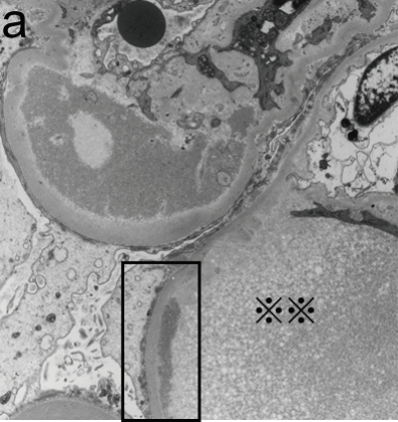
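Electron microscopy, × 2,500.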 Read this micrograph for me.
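This electron micrograph shows a portion of a glomerulus with capillary loops containing abundant deposited material. A large round capillary lumen at right is filled with pale, finely granular material dotted with small clear vacuoles, without any layered pattern. Another capillary loop at upper left contains a denser central zone surrounded by a broad paler rim beneath a thin wall. Along the walls, deposits of differing density are present, and a dense band lies at the edge of the large lumen. The surrounding space contains cell processes and loose material, with a dark round body at the top.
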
